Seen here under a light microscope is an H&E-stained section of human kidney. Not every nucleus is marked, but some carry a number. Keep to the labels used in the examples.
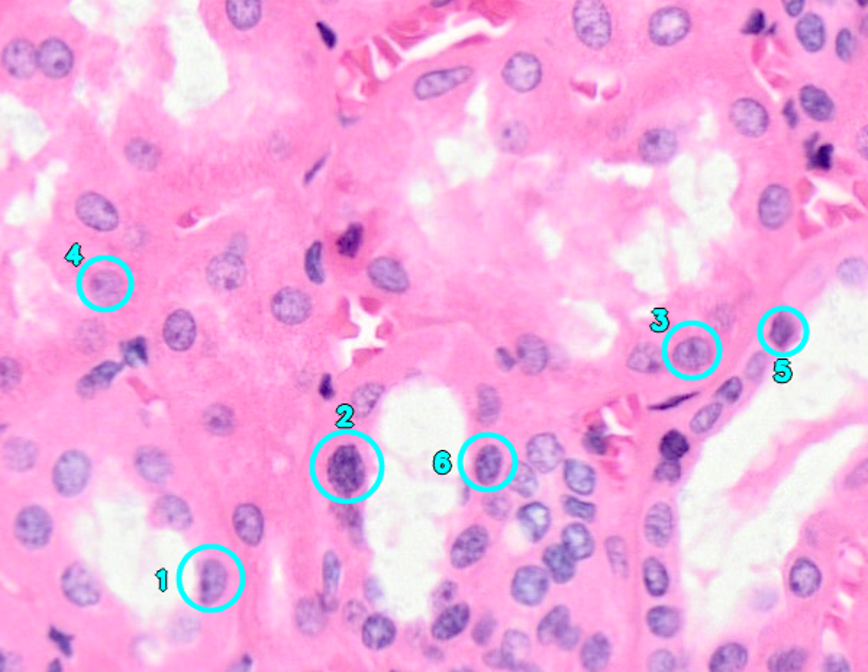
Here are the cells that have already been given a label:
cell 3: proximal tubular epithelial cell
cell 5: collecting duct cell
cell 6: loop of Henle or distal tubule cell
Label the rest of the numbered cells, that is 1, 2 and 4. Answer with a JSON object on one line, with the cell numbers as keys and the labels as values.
{"1": "loop of Henle or distal tubule cell", "2": "loop of Henle or distal tubule cell", "4": "proximal tubular epithelial cell"}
